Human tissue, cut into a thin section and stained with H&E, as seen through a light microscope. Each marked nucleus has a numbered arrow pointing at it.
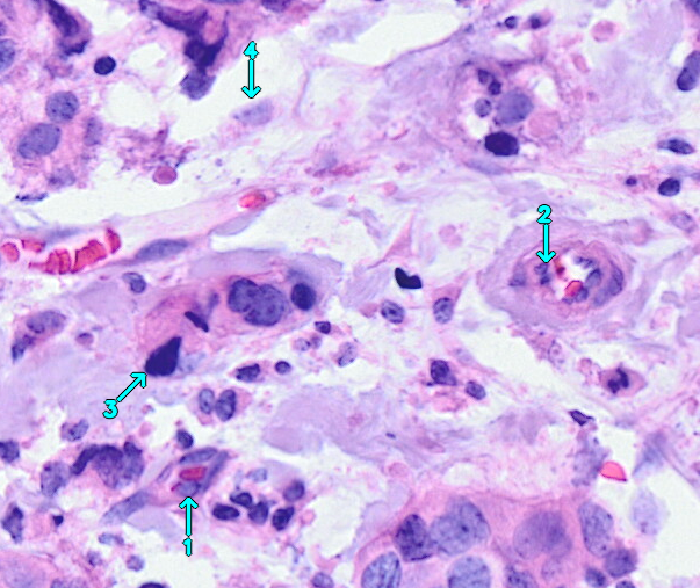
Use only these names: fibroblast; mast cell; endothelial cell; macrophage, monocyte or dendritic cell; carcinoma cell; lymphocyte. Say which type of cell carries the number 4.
fibroblast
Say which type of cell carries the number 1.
endothelial cell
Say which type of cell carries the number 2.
endothelial cell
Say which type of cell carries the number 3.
carcinoma cell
